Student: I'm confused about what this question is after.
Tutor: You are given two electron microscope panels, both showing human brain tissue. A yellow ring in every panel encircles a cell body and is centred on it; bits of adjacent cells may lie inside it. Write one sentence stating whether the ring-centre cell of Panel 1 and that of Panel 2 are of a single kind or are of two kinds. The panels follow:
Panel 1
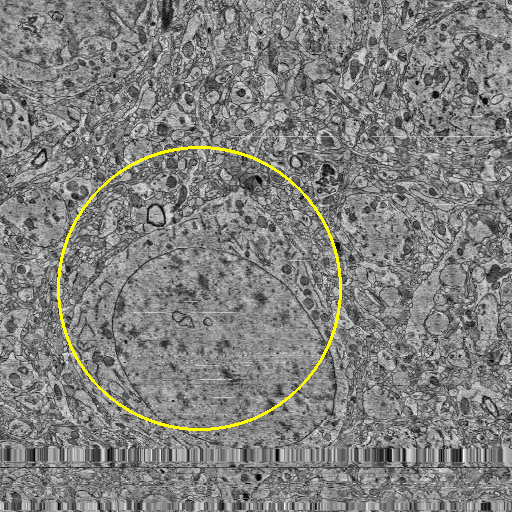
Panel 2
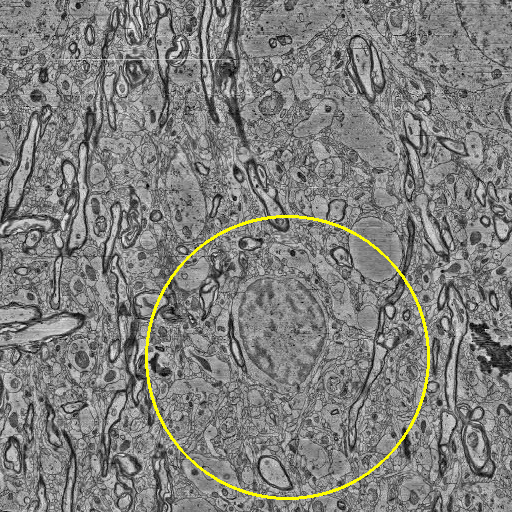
Here, the Panel 1 ring-centre cell and the Panel 2 ring-centre cell are of two kinds.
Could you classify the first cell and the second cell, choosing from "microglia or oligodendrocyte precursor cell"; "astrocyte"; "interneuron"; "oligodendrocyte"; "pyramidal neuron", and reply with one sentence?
The second cell is an oligodendrocyte, while the first is a pyramidal neuron.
